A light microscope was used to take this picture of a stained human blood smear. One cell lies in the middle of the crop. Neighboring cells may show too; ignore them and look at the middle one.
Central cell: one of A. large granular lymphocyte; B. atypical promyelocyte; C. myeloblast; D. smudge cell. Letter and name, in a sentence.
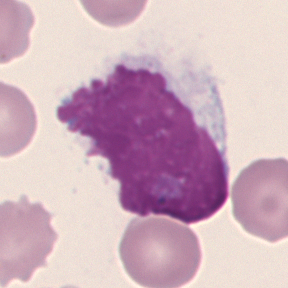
The cell placed in the middle is a smudge cell; option D is correct.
